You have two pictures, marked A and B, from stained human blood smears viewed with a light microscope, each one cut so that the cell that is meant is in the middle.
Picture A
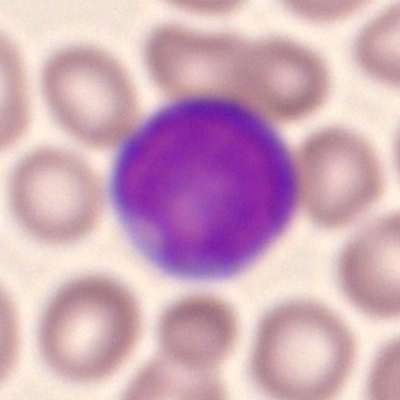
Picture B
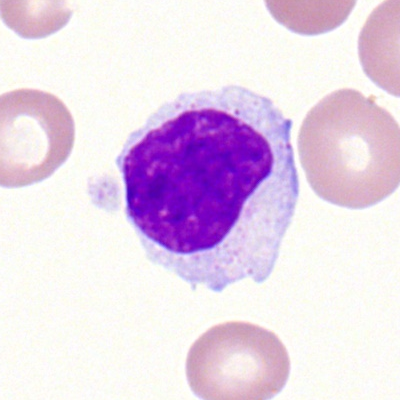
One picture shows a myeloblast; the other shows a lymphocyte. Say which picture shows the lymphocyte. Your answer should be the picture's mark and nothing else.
B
